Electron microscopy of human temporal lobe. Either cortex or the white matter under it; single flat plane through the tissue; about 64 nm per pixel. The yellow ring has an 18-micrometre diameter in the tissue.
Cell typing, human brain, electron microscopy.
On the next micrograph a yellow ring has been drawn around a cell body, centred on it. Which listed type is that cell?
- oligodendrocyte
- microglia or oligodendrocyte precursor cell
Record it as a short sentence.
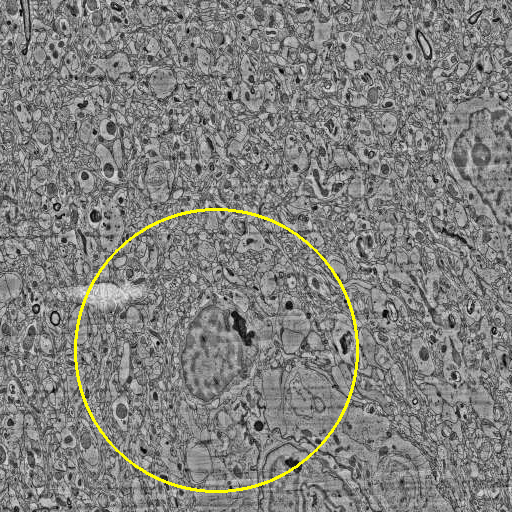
The cell body in the ring's centre belongs to an oligodendrocyte.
